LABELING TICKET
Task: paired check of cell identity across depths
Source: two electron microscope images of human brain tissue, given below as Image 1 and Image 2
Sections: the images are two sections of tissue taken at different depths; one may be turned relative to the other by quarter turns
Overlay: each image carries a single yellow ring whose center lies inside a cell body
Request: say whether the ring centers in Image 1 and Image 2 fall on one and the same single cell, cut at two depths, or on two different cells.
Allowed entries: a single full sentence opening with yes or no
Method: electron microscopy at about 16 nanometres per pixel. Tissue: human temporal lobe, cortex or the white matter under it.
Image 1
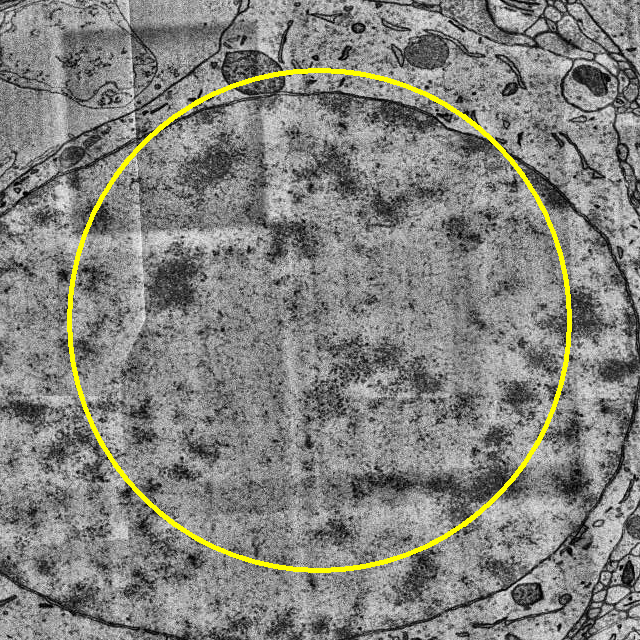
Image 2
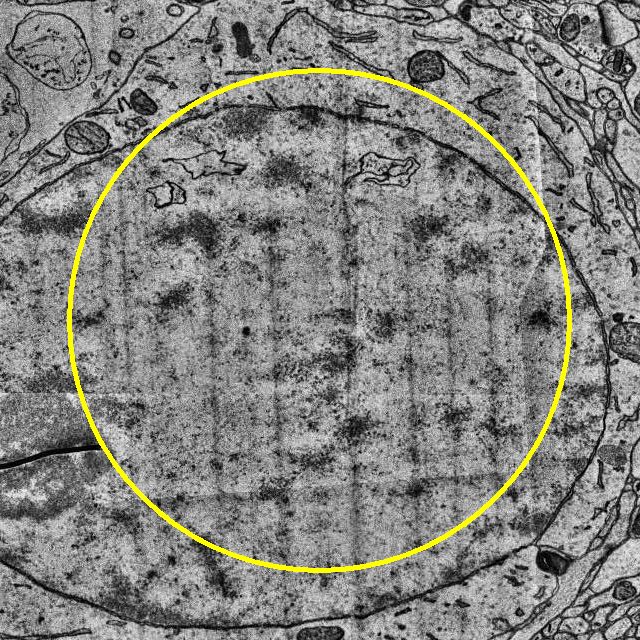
Yes, the same cell appears within both yellow rings.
